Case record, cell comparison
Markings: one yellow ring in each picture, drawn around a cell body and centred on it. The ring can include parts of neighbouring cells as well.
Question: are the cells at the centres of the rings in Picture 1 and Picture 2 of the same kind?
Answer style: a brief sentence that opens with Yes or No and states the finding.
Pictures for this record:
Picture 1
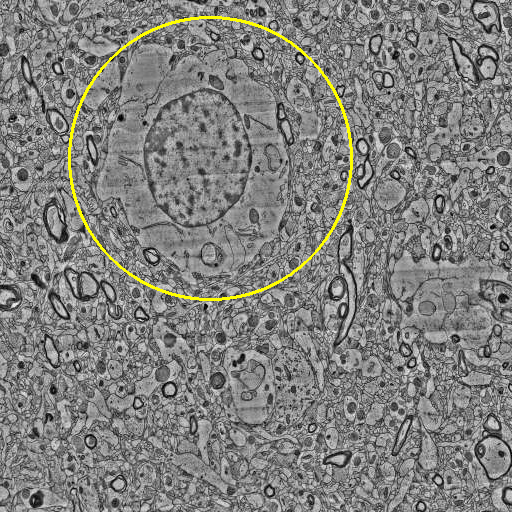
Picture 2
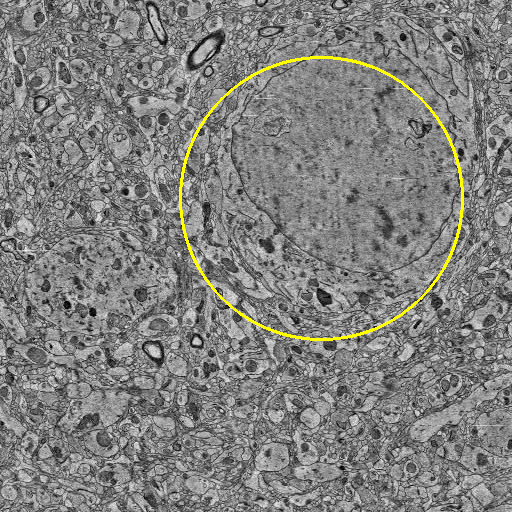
No, the cells in Picture 1 and Picture 2 are of two kinds.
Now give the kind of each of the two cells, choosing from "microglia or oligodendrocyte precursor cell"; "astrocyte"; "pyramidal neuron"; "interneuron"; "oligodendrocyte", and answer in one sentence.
The cell in the first picture is an astrocyte, and the cell in the second is a pyramidal neuron.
